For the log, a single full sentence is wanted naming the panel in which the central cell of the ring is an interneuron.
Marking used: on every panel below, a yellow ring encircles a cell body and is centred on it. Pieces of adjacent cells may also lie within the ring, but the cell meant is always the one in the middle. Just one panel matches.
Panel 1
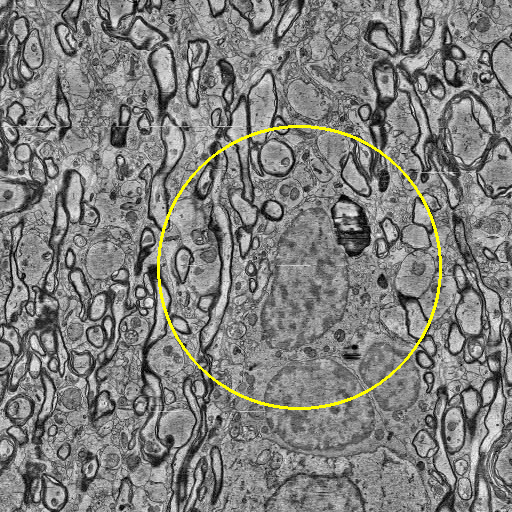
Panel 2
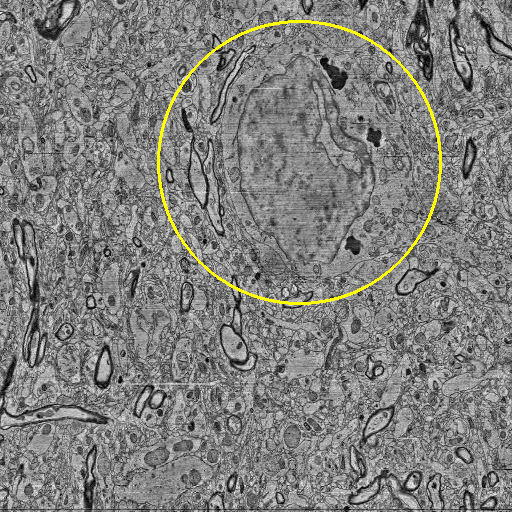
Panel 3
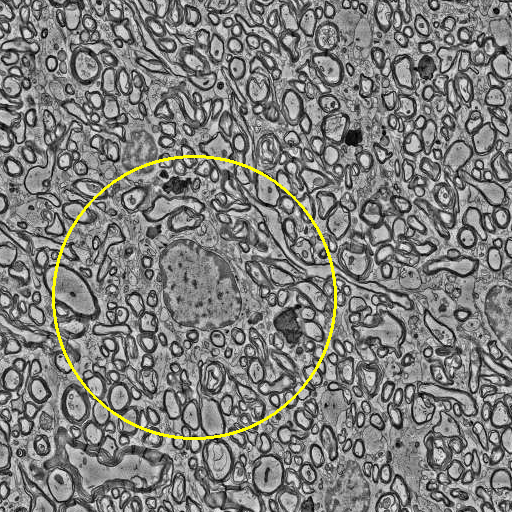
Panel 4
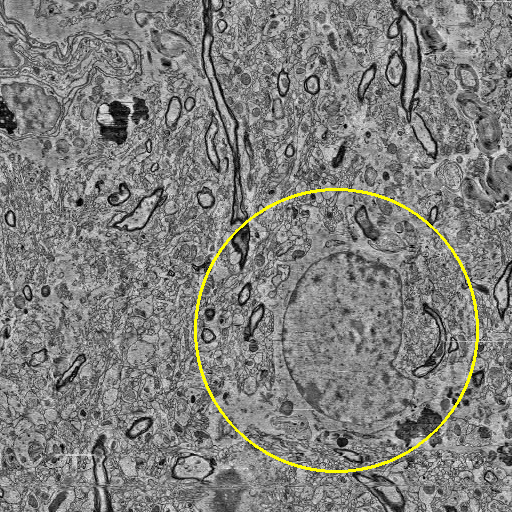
The cell in the middle of the ring in panel 2 is the one asked for.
